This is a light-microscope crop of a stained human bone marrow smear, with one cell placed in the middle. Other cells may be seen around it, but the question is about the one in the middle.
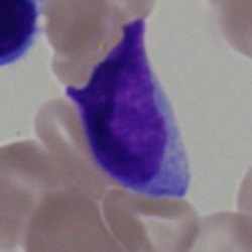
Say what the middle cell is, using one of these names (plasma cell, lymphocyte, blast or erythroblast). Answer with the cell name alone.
blast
